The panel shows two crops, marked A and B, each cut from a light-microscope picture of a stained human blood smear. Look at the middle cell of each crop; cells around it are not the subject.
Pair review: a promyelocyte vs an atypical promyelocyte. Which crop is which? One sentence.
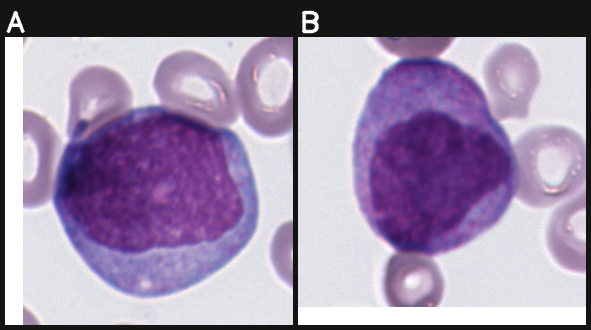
Crop A shows a promyelocyte, whereas crop B shows an atypical promyelocyte.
